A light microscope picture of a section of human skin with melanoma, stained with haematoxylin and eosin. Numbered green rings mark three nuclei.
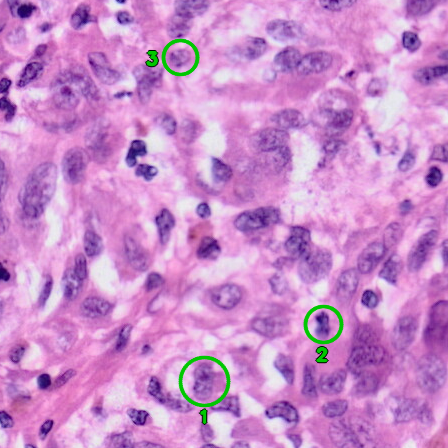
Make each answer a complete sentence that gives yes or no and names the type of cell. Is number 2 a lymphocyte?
Yes, number 2 in this section denotes a lymphocyte.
